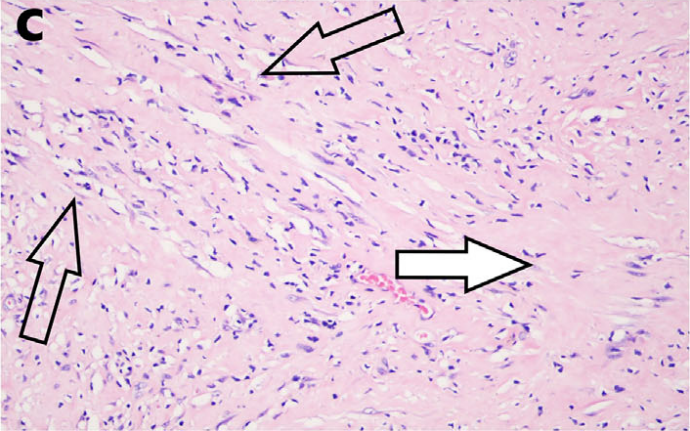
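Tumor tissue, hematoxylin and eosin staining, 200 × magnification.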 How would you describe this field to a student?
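The cells are mostly spindle-shaped with dark elongated nuclei, lying singly or in small loose clusters along streaming bundles of matrix. A small vessel containing red blood cells sits in the middle of the field, and areas with almost no nuclei appear homogeneous and pink.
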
